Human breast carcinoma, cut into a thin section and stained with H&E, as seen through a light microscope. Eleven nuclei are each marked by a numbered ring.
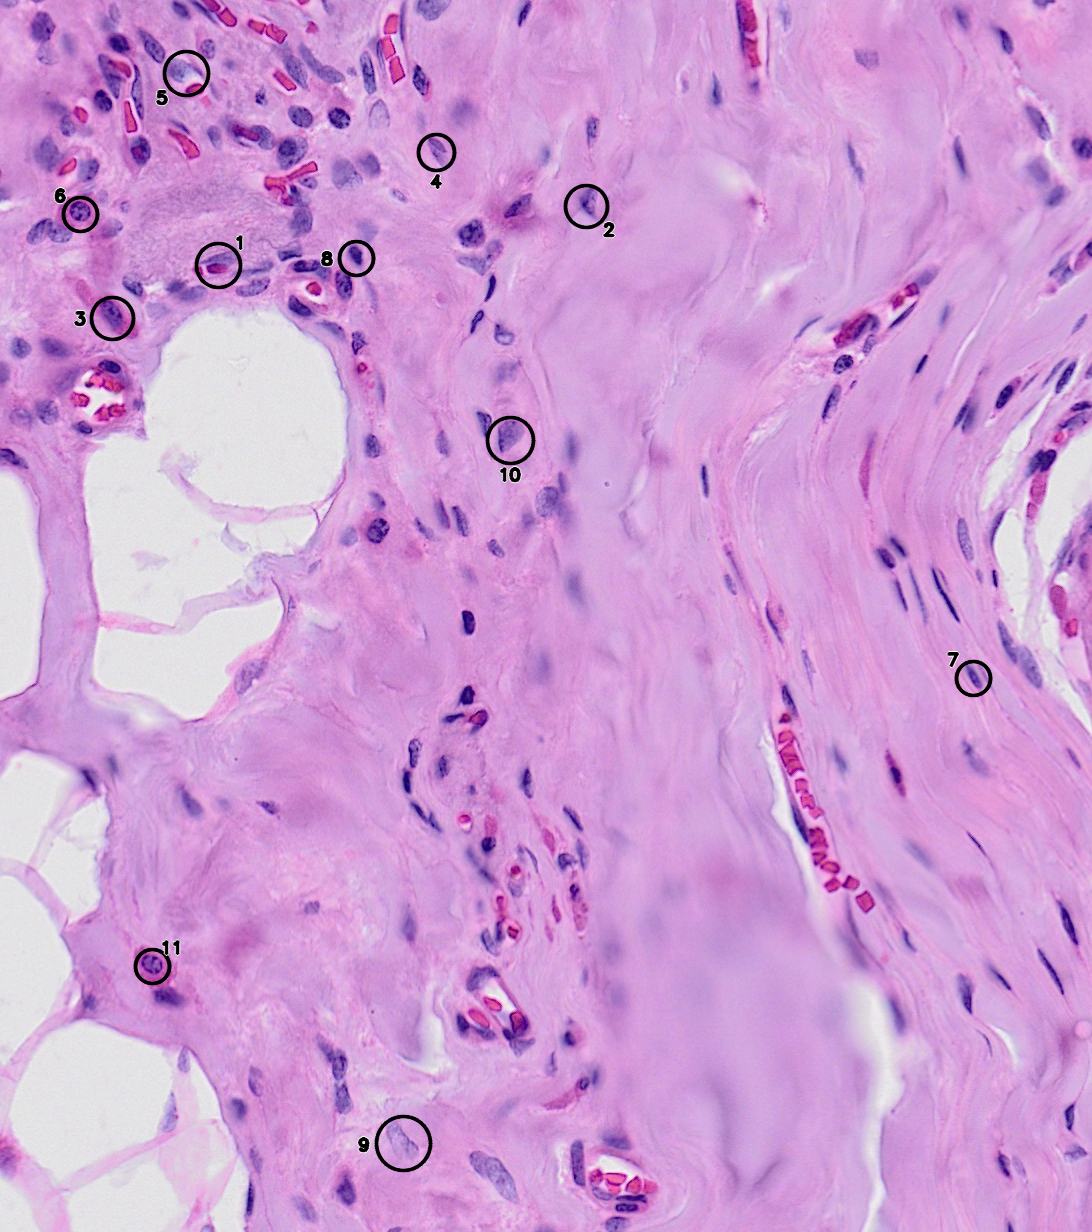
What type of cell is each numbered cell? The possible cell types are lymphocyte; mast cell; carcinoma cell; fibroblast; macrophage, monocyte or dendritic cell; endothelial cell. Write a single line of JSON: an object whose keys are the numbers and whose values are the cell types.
{"1": "endothelial cell", "2": "fibroblast", "3": "mast cell", "4": "fibroblast", "5": "endothelial cell", "6": "mast cell", "7": "fibroblast", "8": "lymphocyte", "9": "fibroblast", "10": "fibroblast", "11": "mast cell"}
